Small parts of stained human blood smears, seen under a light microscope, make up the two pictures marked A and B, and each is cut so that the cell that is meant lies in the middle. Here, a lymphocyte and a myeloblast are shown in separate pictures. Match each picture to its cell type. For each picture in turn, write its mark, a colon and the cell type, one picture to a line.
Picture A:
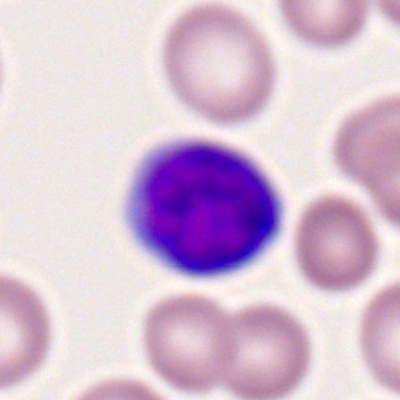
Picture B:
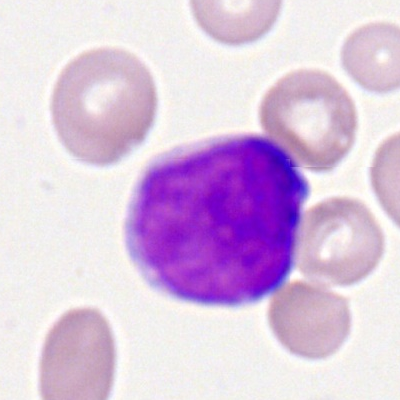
A: lymphocyte
B: myeloblast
